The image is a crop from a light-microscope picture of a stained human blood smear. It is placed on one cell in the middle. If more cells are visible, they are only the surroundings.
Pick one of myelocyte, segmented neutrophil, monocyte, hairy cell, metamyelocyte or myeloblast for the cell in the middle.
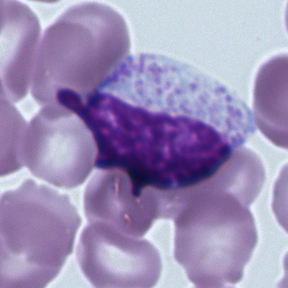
myelocyte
